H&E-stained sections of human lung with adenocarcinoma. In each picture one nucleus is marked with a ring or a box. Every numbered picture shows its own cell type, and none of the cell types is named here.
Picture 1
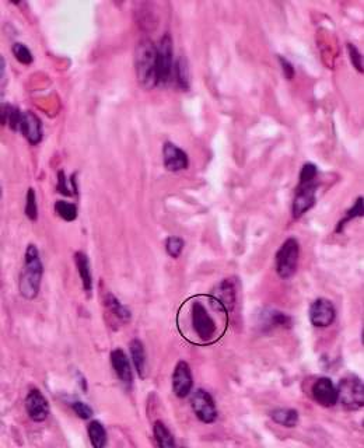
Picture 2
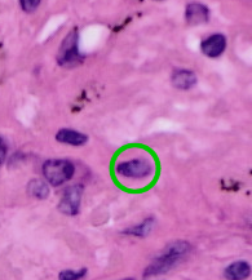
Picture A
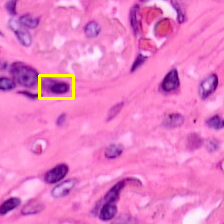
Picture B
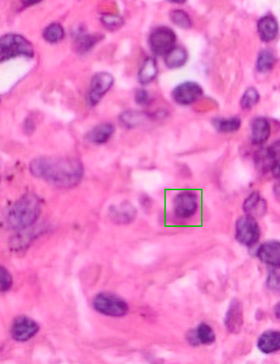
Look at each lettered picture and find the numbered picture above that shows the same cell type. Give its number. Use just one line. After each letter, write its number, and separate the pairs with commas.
A 1, B 1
